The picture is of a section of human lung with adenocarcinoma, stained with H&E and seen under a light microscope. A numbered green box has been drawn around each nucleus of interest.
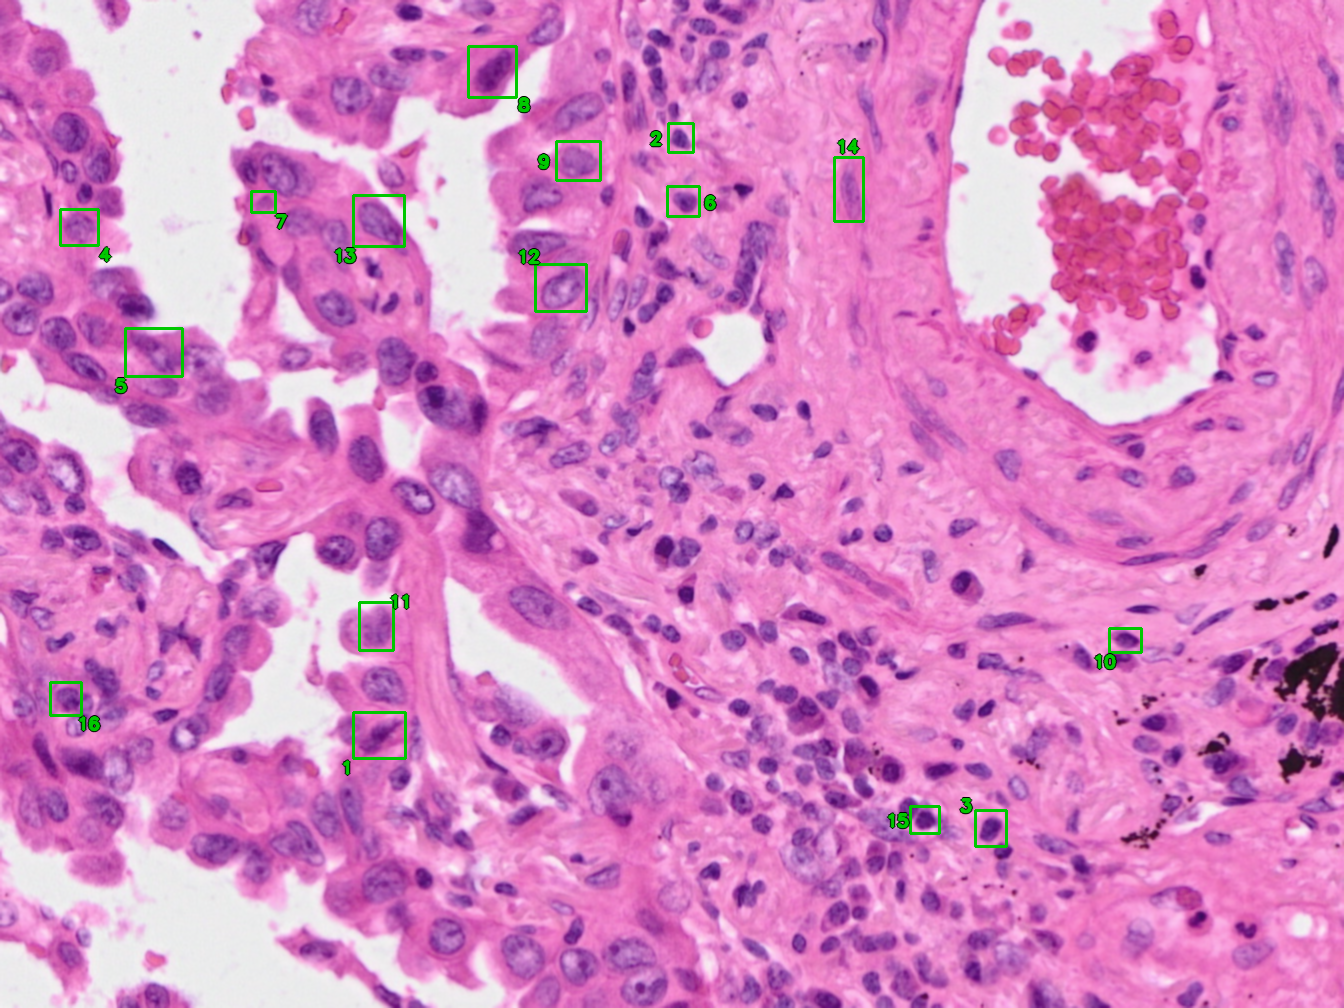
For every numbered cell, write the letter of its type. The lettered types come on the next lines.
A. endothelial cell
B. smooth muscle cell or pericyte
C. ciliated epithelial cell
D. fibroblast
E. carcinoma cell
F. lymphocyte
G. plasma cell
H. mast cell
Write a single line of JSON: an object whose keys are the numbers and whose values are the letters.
{"1": "E", "2": "F", "3": "F", "4": "E", "5": "E", "6": "F", "7": "E", "8": "E", "9": "E", "10": "G", "11": "E", "12": "E", "13": "E", "14": "B", "15": "F", "16": "G"}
